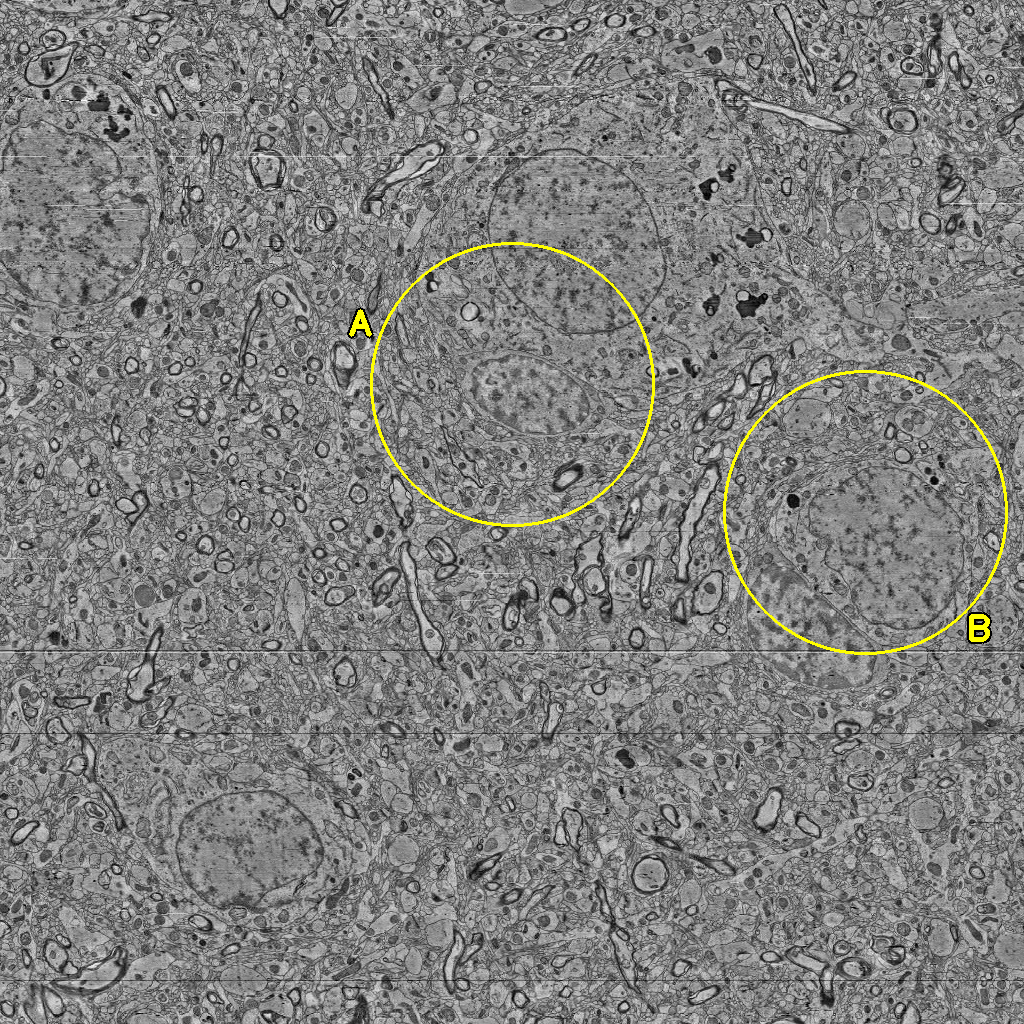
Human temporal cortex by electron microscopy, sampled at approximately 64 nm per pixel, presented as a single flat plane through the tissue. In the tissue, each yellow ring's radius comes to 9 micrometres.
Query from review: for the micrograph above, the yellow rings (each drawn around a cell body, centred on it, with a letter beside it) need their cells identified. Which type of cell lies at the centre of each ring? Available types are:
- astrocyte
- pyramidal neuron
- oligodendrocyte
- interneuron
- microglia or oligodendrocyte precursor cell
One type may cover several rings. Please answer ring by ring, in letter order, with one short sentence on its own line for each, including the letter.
Ring A is drawn around an oligodendrocyte.
Ring B is drawn around a pyramidal neuron.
